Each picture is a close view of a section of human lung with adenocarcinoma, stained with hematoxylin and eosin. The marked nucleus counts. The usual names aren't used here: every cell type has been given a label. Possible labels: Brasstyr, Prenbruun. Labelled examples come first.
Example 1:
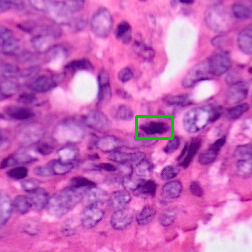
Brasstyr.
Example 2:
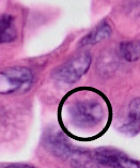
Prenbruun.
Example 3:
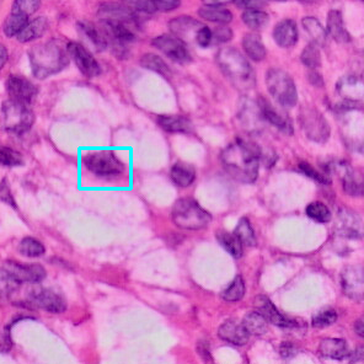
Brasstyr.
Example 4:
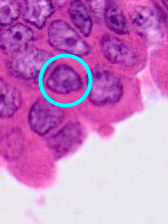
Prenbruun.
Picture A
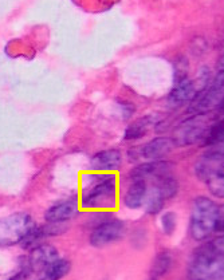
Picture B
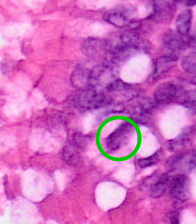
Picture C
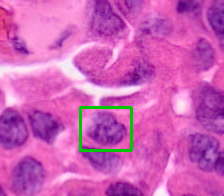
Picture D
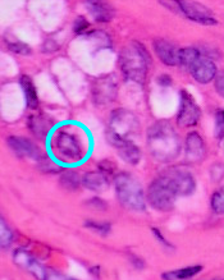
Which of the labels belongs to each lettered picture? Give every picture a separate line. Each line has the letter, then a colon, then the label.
A: Brasstyr.
B: Brasstyr.
C: Prenbruun.
D: Brasstyr.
